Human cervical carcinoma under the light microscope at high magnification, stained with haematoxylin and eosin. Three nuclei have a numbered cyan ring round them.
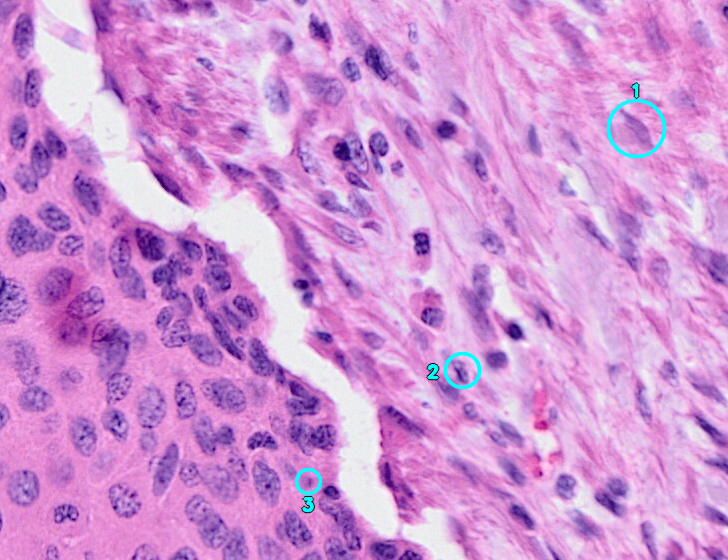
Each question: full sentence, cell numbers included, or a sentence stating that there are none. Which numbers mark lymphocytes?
Among the numbered nuclei, only the one labelled 2 belongs to a lymphocyte.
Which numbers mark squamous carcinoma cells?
Cell 3, and no other numbered cell, is a squamous carcinoma cell.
